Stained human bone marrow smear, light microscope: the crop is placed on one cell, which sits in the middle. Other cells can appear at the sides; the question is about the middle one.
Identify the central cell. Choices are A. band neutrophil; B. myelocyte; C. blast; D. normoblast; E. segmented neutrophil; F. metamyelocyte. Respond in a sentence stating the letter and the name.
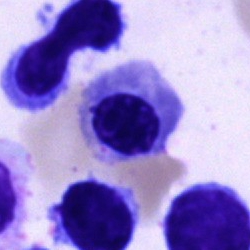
Option D is right in identifying the central cell as a normoblast.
